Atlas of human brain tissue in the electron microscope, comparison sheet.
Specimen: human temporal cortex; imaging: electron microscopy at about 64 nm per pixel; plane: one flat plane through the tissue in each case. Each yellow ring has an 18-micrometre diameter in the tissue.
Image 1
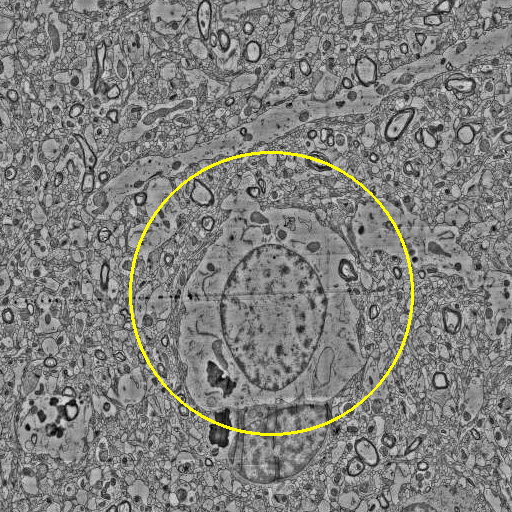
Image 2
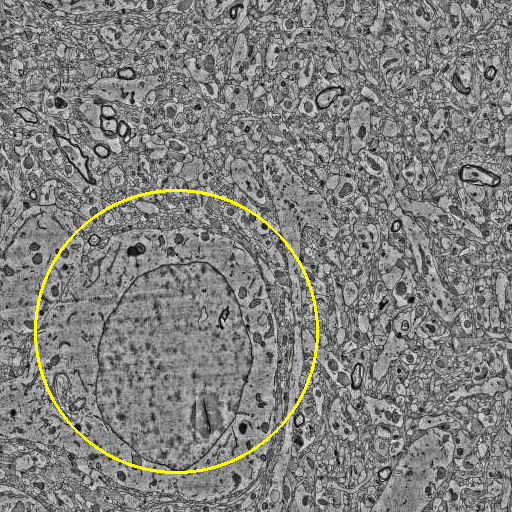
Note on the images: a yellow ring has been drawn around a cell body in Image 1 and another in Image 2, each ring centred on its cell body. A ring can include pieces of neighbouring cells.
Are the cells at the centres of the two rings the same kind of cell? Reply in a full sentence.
No, the two cells are of two kinds.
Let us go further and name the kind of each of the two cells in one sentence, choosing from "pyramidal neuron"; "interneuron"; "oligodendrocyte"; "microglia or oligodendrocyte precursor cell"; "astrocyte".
The ring of the first picture is on an astrocyte, the ring of the second on a pyramidal neuron.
